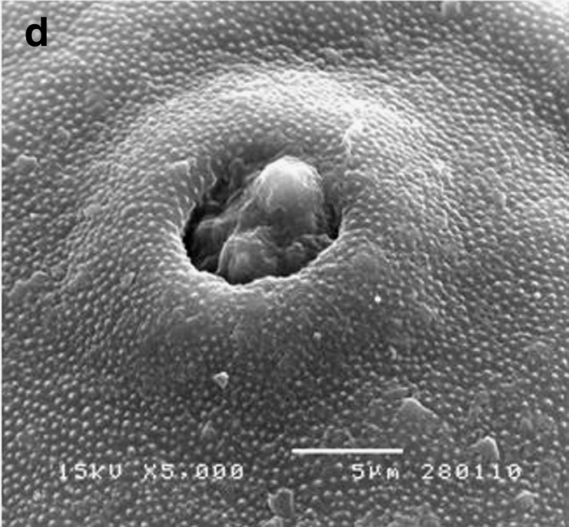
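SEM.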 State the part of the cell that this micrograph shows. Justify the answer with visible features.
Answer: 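Germination pore. A single roughly round opening lies in the centre of the surface. The opening is ringed by a slightly raised rim. Material is visible inside the opening.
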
